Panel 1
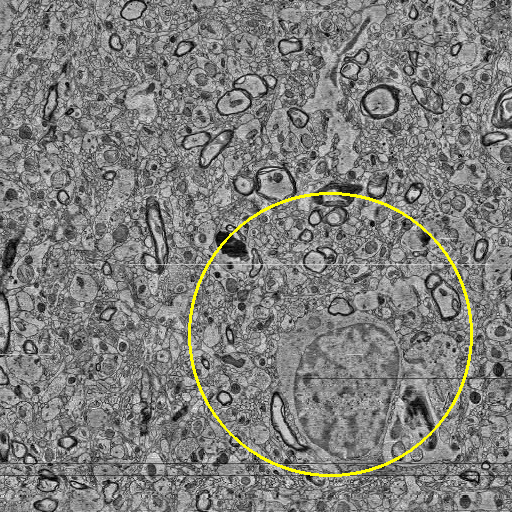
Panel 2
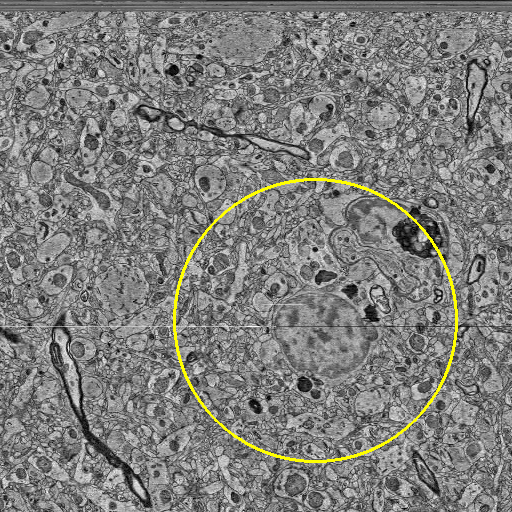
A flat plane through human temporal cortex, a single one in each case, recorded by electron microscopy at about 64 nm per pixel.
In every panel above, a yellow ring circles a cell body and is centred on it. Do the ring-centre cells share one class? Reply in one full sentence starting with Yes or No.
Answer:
Yes, the two cells at the ring centres in the panels belong to one class.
